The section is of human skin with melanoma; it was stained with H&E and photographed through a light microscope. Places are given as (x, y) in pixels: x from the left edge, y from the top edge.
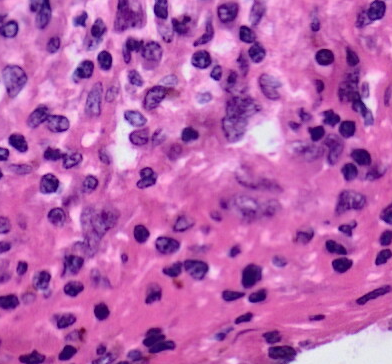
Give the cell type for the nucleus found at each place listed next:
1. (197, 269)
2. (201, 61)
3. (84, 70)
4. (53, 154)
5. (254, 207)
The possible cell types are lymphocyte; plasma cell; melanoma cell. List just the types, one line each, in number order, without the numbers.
plasma cell
lymphocyte
lymphocyte
lymphocyte
melanoma cell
